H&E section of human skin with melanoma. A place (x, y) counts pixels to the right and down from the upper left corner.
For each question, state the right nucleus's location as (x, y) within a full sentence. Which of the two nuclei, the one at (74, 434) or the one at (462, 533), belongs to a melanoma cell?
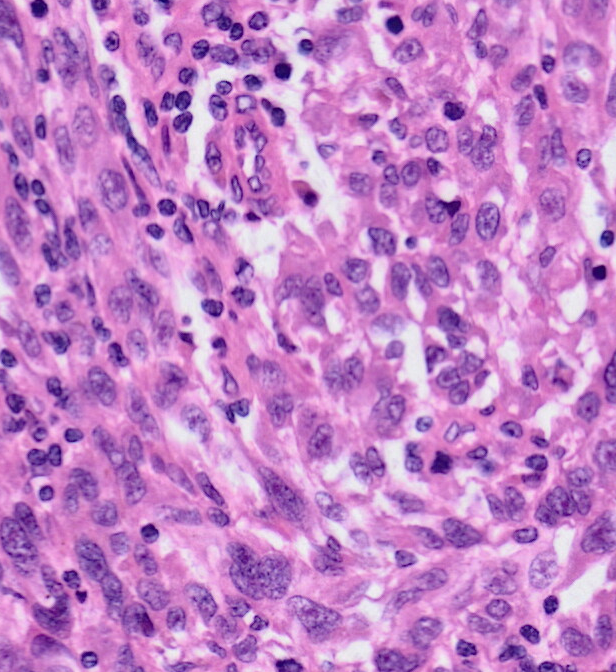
Among the two, the nucleus at (462, 533) is the nucleus of a melanoma cell.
